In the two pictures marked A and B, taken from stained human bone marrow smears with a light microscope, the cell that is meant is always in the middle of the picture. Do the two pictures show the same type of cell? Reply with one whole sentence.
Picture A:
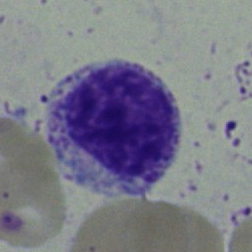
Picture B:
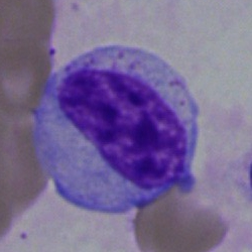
Yes; the cells in both pictures are myelocytes.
